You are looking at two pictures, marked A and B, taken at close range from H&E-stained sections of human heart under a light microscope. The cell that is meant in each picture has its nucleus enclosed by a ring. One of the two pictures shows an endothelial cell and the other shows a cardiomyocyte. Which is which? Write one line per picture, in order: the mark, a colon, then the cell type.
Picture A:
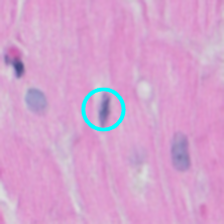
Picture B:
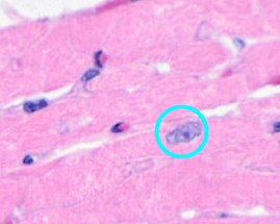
A: endothelial cell
B: cardiomyocyte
